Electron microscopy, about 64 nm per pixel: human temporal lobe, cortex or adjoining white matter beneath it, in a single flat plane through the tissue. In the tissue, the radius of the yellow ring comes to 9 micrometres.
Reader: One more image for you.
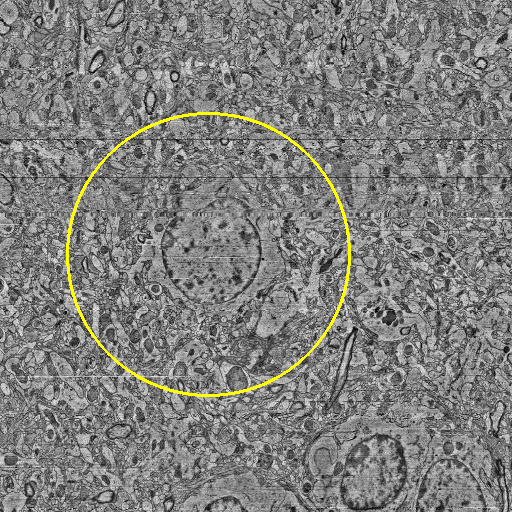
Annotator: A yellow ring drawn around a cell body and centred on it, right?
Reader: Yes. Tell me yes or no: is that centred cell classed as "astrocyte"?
yes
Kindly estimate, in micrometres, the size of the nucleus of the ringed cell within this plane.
In this plane, the nucleus of the cell at the centre of the ring measures about 7 by 6 micrometres.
